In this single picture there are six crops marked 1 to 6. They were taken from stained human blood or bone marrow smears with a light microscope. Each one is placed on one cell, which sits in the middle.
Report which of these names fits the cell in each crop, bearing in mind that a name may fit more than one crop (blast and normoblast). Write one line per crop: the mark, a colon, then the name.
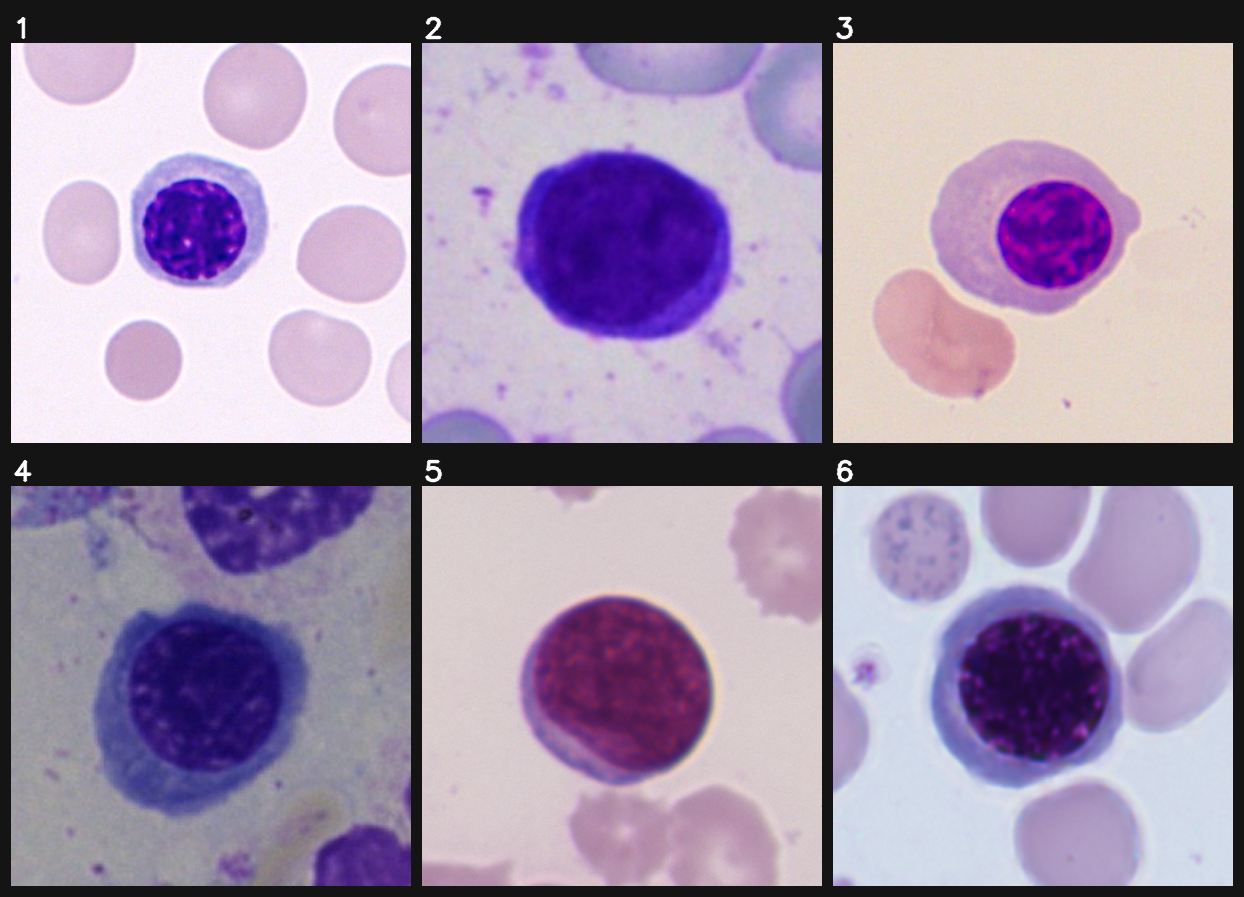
1: normoblast
2: blast
3: normoblast
4: normoblast
5: blast
6: normoblast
